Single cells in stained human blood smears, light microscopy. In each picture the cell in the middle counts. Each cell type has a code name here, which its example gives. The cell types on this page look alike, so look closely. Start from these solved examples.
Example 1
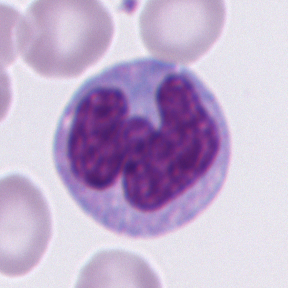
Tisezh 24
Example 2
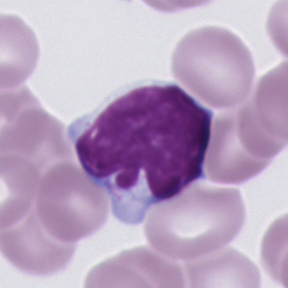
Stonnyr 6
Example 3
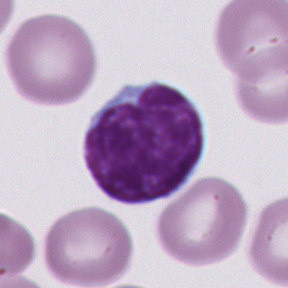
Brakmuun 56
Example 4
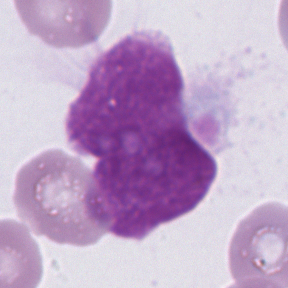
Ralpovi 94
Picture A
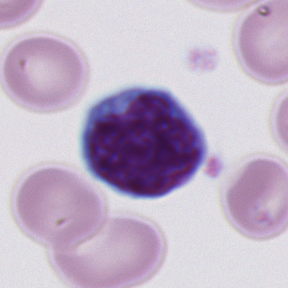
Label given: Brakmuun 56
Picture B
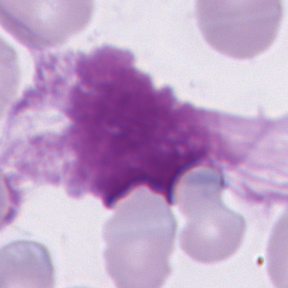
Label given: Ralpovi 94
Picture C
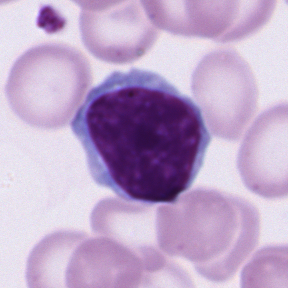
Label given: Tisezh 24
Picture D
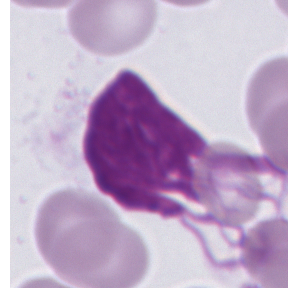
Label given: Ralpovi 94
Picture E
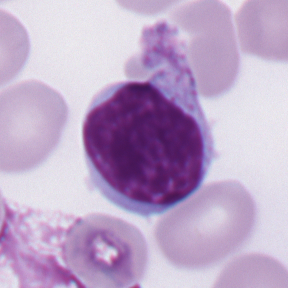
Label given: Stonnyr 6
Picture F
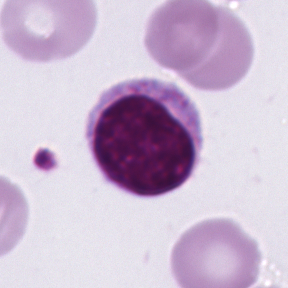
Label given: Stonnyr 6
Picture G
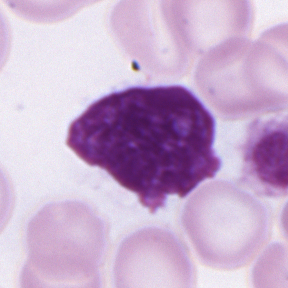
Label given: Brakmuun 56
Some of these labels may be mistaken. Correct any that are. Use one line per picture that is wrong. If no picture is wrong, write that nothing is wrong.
C: not Tisezh 24 but Brakmuun 56
G: not Brakmuun 56 but Ralpovi 94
